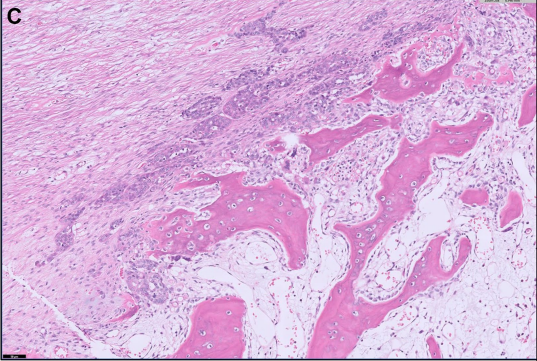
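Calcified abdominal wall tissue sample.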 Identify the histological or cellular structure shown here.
Bone trabeculae.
